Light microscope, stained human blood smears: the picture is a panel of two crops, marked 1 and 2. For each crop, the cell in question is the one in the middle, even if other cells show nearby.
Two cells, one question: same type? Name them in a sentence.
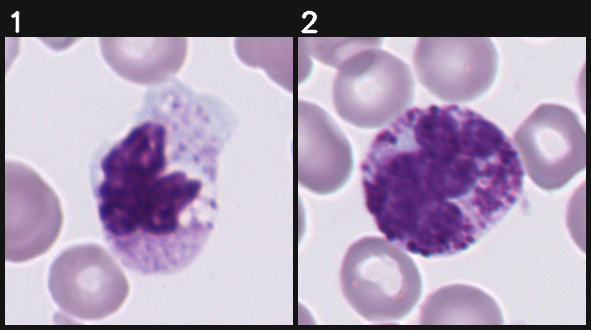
No, that is not right; crop 1 shows a segmented neutrophil and crop 2 shows a basophil.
